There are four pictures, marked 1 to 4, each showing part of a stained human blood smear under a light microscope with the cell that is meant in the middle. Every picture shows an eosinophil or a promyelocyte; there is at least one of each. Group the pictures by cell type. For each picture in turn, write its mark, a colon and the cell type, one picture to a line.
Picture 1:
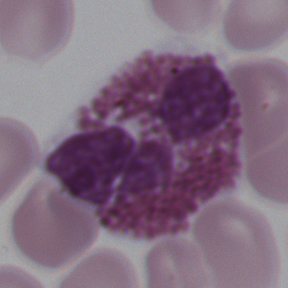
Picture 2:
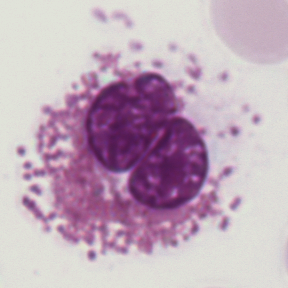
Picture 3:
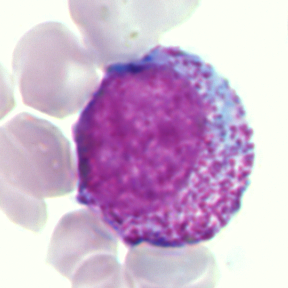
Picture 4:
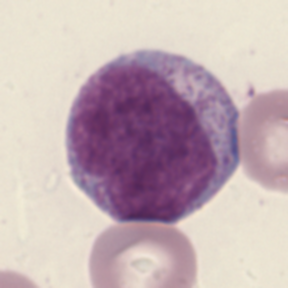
1: eosinophil
2: eosinophil
3: promyelocyte
4: promyelocyte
